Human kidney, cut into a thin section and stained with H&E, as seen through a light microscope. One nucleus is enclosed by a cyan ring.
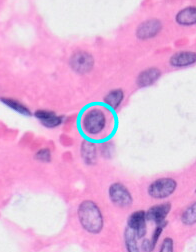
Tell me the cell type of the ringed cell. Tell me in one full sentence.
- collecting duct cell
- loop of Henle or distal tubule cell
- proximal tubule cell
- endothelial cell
Students should answer that the ringed cell is a collecting duct cell.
